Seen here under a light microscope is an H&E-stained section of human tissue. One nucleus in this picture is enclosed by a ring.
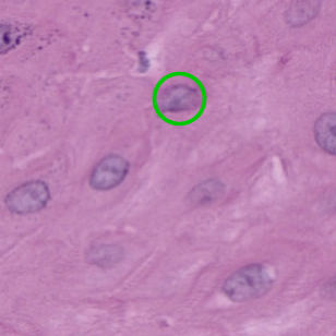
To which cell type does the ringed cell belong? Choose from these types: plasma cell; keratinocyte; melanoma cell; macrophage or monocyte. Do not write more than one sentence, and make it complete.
In cellular terms, the ringed cell is a keratinocyte.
